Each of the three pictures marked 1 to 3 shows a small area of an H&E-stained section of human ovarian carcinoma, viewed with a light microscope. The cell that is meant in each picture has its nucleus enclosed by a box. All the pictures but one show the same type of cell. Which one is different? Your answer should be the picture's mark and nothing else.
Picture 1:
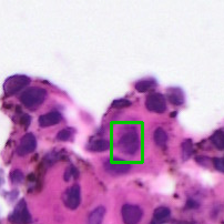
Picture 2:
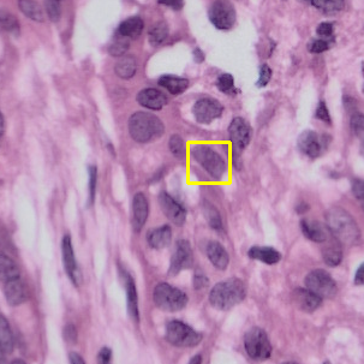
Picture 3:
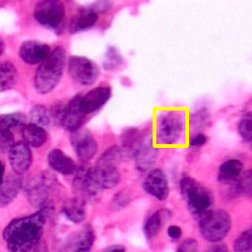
3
